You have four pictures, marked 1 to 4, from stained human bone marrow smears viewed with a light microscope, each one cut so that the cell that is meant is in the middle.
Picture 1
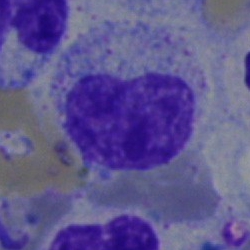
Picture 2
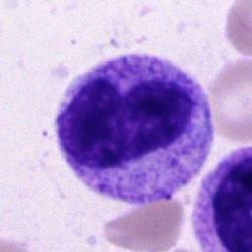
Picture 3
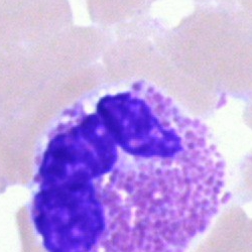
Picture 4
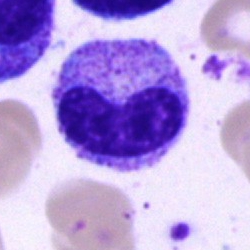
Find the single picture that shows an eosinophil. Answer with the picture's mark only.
3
